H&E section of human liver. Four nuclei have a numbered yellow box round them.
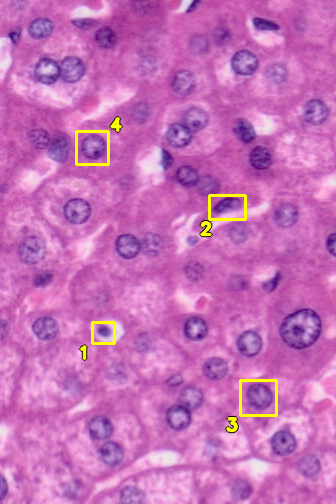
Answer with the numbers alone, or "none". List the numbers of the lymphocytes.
1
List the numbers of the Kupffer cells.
2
